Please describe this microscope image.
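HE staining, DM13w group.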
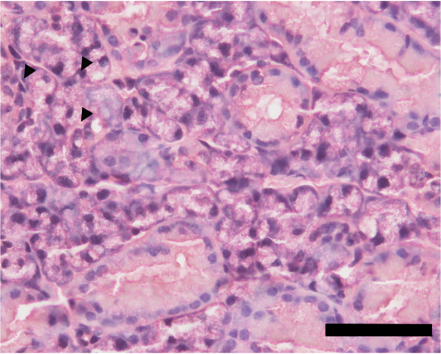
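Duct profiles with pink granular cytoplasm and a central lumen lie at the right and lower part of the field. At the upper left the acinar cells are crowded, with dark purple nuclei and cytoplasm broken up by small clear spaces. Arrowheads point to this area of disrupted acinar cytoplasm. The boundaries between units are less sharply defined than in a regular gland.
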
